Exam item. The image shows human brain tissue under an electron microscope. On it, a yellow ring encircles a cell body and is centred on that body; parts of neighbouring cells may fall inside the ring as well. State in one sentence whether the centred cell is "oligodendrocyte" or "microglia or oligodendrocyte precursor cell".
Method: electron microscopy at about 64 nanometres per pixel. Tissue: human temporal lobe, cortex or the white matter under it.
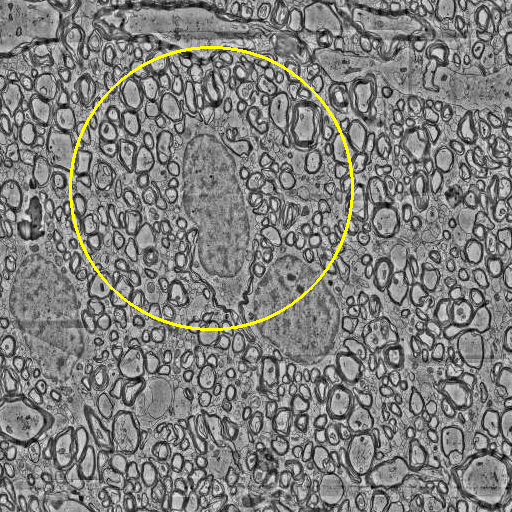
The cell body centred in the ring is an oligodendrocyte.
